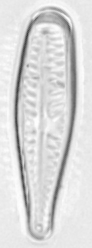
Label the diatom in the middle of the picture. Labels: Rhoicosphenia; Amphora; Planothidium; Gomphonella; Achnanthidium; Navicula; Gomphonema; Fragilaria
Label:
Gomphonella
